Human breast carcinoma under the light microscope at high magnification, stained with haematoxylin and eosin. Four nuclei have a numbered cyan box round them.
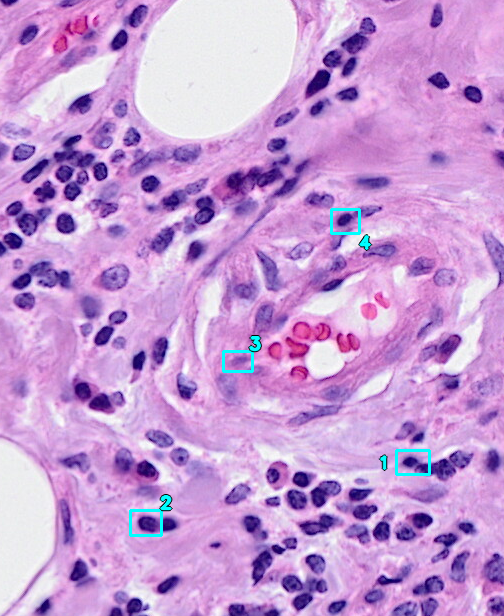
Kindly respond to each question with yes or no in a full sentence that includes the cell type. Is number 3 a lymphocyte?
No, the cell tagged 3 is an endothelial cell, and not a lymphocyte.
